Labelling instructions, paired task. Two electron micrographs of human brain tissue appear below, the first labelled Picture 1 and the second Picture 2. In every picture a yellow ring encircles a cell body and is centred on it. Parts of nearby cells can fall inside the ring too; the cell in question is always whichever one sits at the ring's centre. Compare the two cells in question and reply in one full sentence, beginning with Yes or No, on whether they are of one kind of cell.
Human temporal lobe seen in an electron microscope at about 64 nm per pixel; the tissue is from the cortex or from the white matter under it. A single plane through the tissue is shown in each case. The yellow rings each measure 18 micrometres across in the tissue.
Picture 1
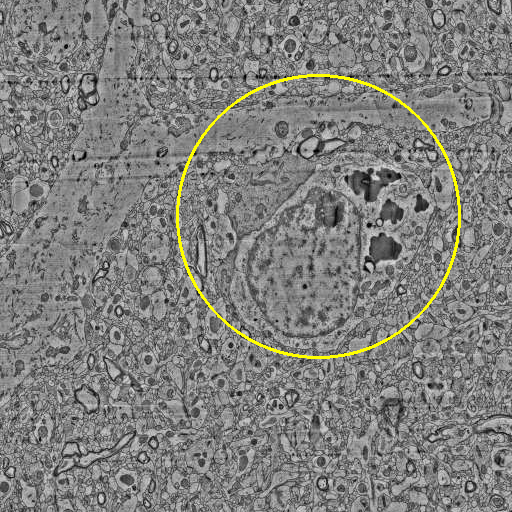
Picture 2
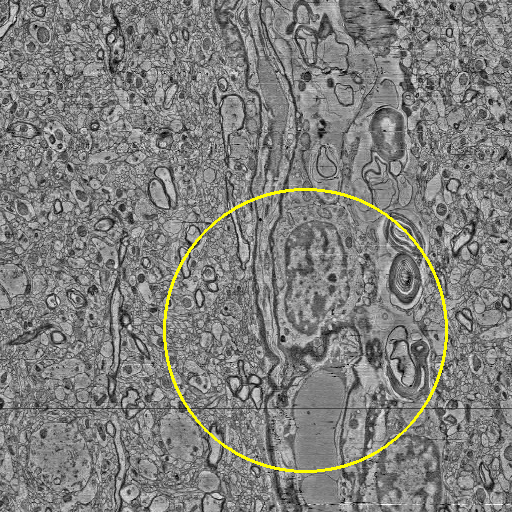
No, the two cells at the ring centres in Picture 1 and Picture 2 are of two kinds.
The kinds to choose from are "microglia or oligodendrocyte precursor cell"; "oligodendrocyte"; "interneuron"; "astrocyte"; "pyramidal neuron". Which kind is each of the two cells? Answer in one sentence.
Of the two, the first cell is an interneuron and the second cell is an oligodendrocyte.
